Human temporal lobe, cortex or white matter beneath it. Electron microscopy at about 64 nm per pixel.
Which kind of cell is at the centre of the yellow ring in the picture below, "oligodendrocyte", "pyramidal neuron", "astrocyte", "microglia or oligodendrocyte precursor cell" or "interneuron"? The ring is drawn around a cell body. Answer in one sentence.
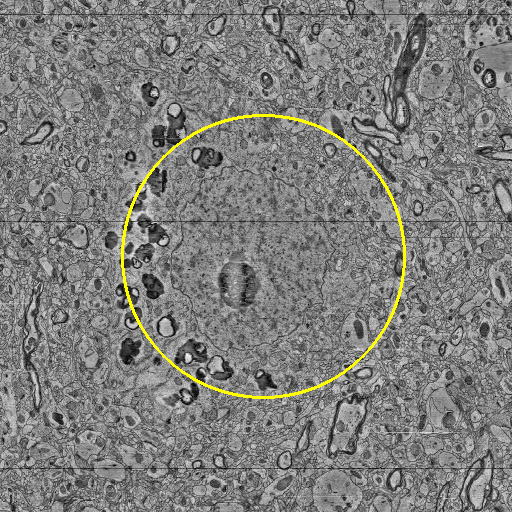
The ring's central cell is a pyramidal neuron.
